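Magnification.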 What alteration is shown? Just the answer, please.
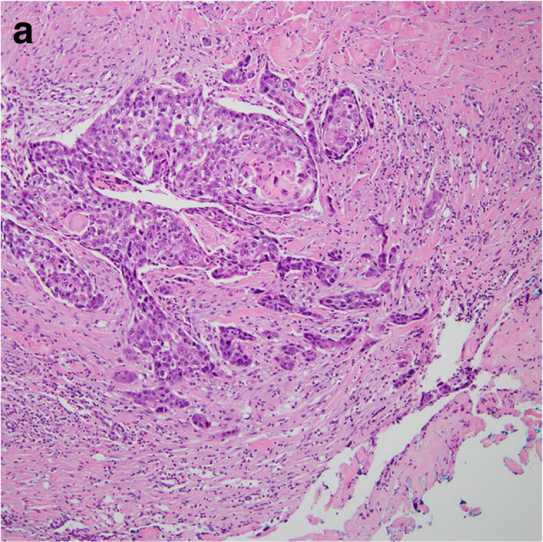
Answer: Squamous cell carcinoma.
